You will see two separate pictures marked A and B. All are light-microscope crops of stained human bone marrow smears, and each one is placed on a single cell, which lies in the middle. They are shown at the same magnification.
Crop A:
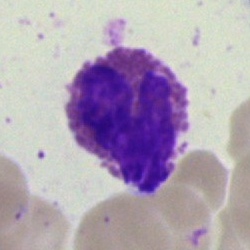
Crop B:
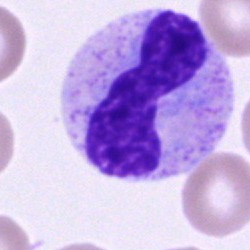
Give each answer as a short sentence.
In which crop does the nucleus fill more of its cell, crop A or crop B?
In crop A the nucleus takes up the larger part of its cell.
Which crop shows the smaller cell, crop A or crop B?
The cell in crop A is smaller; the one in crop B has about 2 times its area.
